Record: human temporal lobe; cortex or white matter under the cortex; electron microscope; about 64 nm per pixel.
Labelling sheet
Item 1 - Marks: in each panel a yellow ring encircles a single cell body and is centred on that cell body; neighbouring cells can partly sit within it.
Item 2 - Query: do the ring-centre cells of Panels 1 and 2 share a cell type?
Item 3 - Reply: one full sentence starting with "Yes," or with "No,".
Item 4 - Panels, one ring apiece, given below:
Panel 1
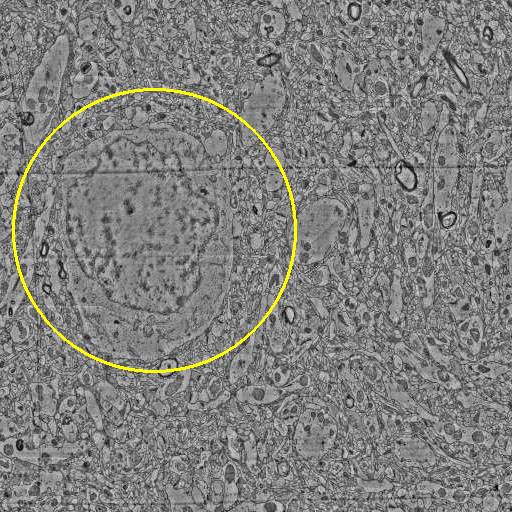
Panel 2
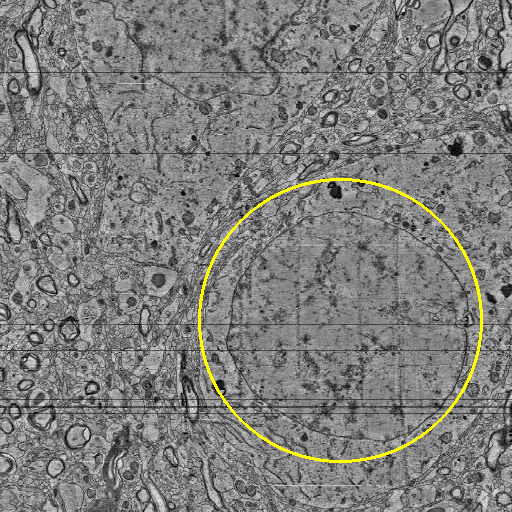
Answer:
No, Panel 1 and Panel 2 show two cell types at the centres of their rings.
